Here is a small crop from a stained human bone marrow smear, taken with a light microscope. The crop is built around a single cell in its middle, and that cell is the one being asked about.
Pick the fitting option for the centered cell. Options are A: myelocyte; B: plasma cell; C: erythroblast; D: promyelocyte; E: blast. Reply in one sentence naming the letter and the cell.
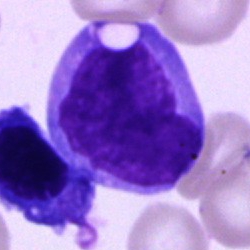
The cell centered in the crop is a blast, making option E the correct pick.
